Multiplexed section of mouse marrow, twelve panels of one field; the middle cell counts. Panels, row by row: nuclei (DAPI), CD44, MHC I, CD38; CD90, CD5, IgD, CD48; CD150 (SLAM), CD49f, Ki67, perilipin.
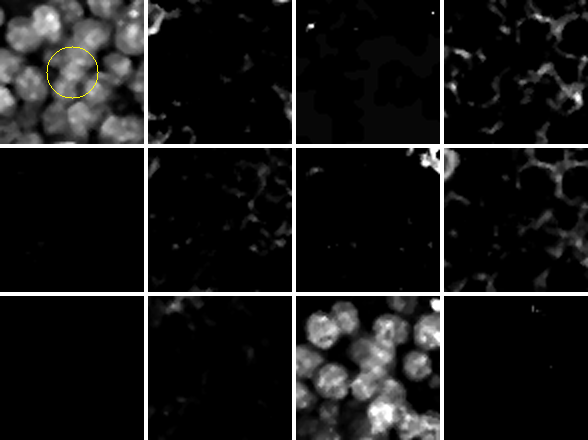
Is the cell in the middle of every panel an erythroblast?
Yes, it is an erythroblast.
